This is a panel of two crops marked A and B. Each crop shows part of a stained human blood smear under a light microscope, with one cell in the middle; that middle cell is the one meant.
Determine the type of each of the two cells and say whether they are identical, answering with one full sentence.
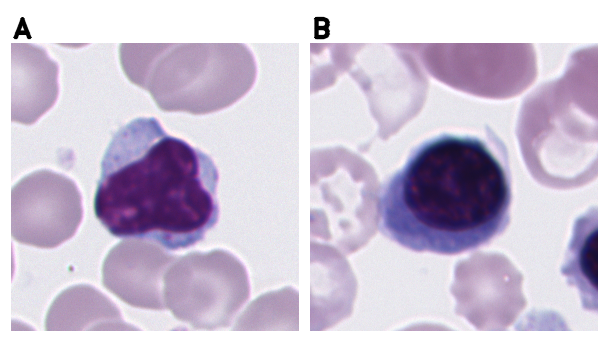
No, in crop A the cell is a typical lymphocyte, and in crop B it is a normoblast.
